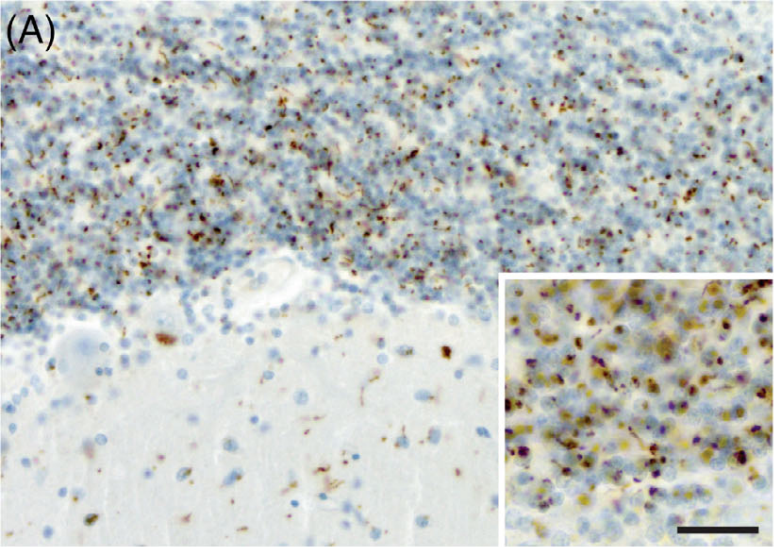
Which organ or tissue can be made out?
Cerebellar cortex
